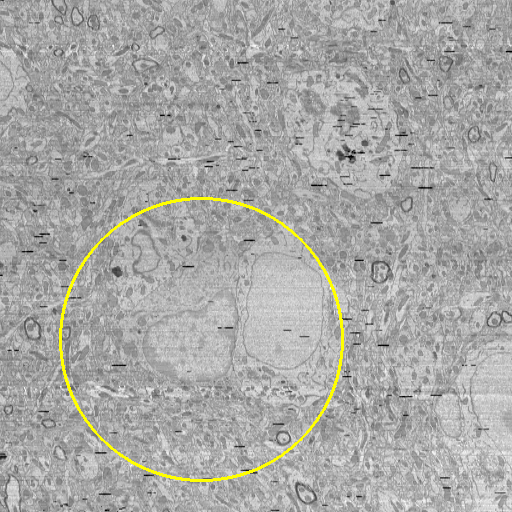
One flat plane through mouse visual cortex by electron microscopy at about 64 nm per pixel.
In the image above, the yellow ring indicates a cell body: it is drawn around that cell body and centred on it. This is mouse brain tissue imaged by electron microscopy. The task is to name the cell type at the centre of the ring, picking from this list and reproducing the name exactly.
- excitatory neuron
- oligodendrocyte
oligodendrocyte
